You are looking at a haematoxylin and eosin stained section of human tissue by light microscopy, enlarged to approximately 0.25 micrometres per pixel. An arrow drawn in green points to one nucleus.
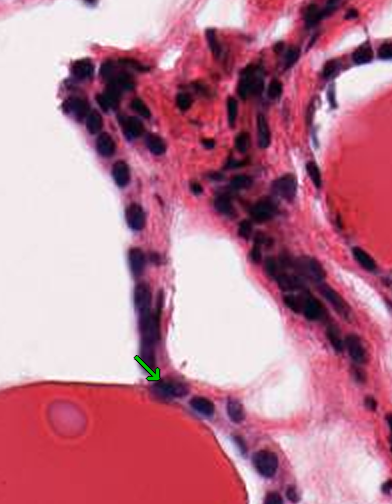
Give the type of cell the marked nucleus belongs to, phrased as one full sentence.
The marked nucleus is that of a thyroid follicular cell in this section.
